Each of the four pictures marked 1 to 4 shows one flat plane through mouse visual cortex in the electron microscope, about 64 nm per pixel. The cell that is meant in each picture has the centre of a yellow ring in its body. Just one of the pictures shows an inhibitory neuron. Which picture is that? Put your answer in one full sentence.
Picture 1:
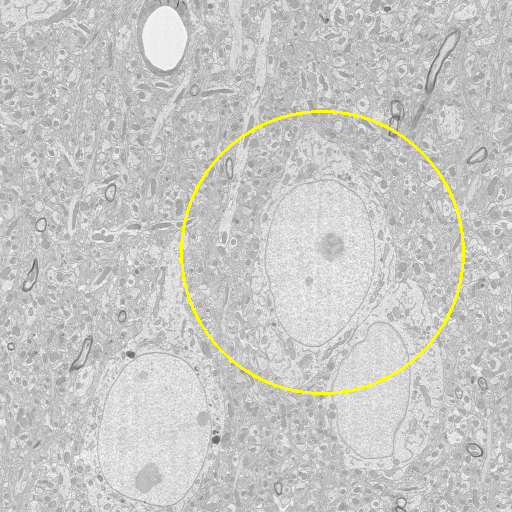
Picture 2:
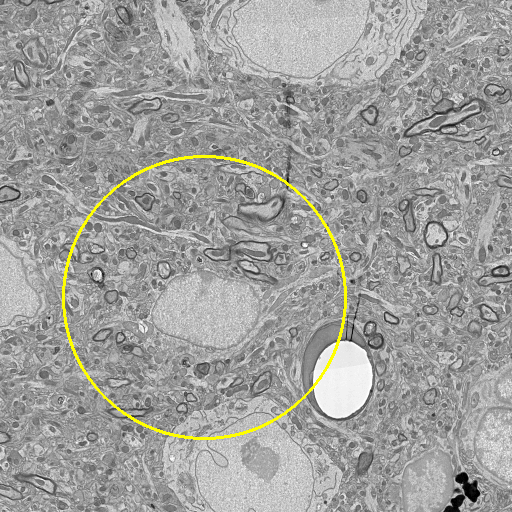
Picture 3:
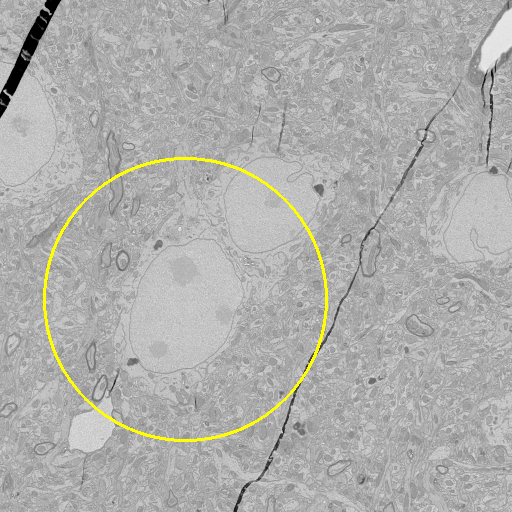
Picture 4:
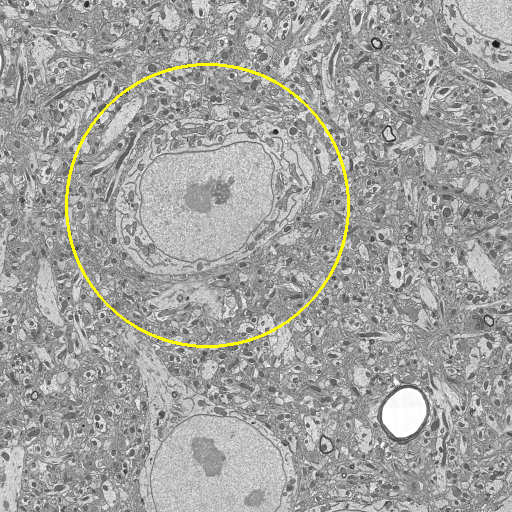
Picture 4 is the one that shows the inhibitory neuron.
